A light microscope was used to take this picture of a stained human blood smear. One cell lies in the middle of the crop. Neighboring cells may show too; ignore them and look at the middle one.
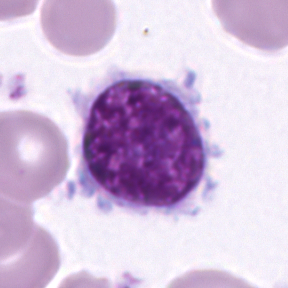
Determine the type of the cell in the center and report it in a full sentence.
Present in the middle of the crop is a plasma cell.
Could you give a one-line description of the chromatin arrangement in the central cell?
One feature to record is coarsely clumped chromatin.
